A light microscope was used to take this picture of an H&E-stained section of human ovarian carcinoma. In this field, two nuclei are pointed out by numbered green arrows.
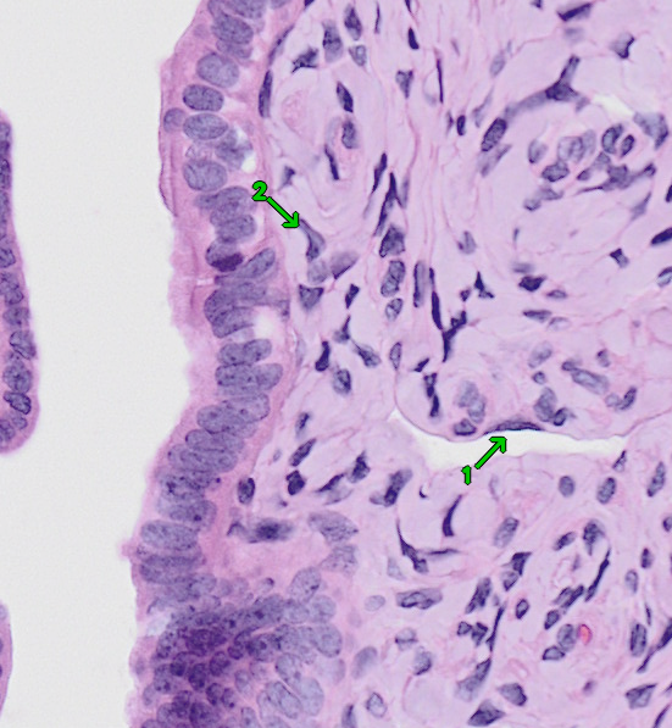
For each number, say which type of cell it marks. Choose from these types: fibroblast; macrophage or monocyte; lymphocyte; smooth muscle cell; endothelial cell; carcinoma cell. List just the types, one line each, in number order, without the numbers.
endothelial cell
fibroblast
